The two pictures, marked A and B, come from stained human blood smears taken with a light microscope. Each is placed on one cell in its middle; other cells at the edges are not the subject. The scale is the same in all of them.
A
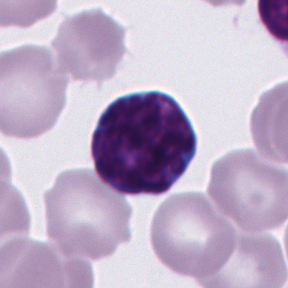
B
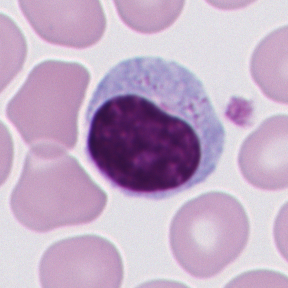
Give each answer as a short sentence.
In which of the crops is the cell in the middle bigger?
Crop B holds the larger cell; it covers about 1.5 times the area of the cell in crop A.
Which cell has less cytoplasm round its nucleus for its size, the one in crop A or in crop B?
The nucleus fills more of the cell in crop A than in crop B.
